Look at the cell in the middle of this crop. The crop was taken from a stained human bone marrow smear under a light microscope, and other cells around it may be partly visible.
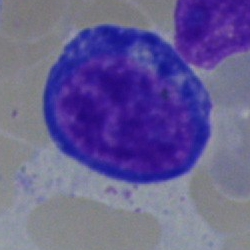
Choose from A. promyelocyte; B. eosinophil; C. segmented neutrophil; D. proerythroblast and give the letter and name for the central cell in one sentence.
Option D holds up: the cell in the middle is a proerythroblast.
